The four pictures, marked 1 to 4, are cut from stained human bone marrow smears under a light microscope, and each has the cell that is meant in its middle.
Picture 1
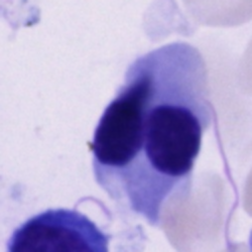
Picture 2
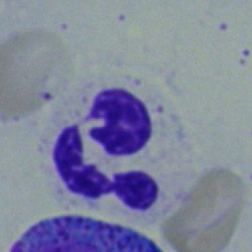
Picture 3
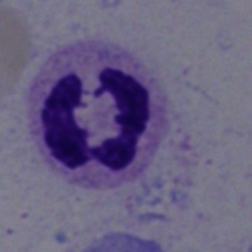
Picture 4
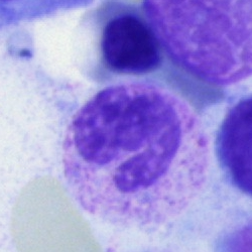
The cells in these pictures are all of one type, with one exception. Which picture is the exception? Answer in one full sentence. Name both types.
The others show segmented neutrophils, but picture 1 shows an erythroblast.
